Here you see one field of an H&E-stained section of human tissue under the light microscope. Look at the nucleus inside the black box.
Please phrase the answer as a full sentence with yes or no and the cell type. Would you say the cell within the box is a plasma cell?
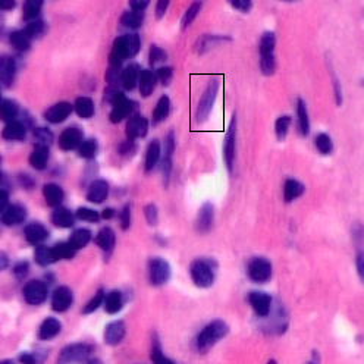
No, it is not a plasma cell but an endothelial cell that the cell within the box represents.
